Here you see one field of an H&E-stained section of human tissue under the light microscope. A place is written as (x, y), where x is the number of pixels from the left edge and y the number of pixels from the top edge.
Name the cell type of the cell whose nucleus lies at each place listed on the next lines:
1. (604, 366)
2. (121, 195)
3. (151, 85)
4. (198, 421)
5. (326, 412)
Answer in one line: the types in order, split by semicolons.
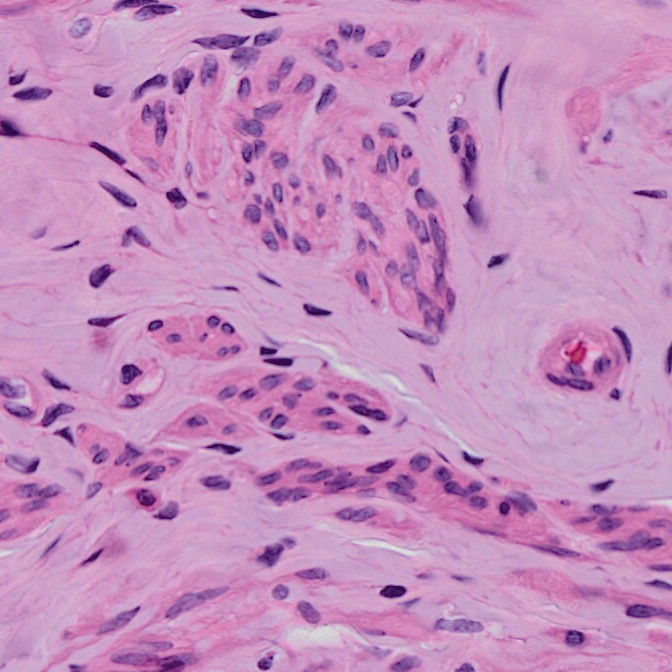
endothelial cell; fibroblast; fibroblast; smooth muscle cell; smooth muscle cell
